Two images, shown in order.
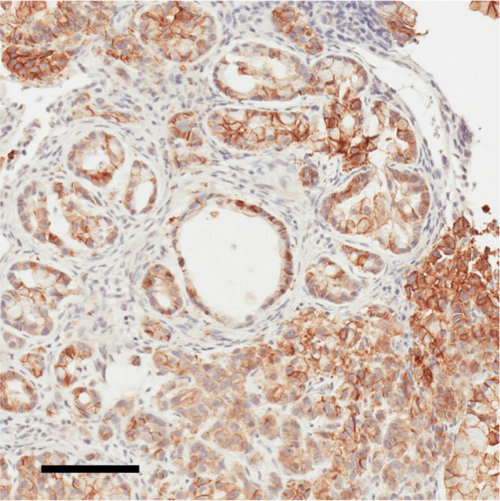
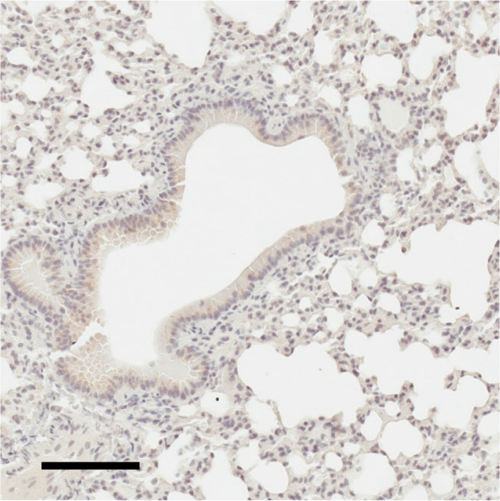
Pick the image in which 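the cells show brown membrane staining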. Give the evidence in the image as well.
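First image: many epithelial cells have strong brown staining along their membranes. On this evidence: the first image.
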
